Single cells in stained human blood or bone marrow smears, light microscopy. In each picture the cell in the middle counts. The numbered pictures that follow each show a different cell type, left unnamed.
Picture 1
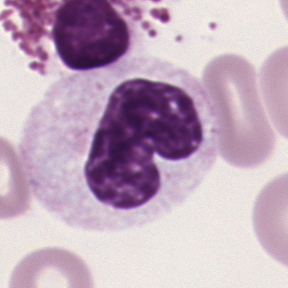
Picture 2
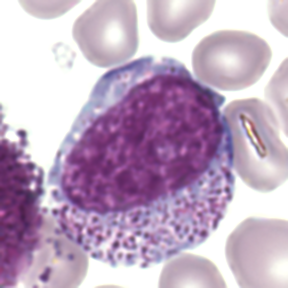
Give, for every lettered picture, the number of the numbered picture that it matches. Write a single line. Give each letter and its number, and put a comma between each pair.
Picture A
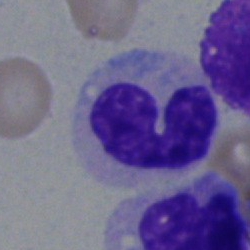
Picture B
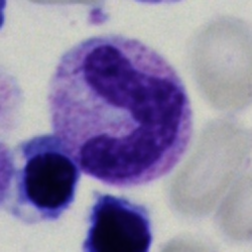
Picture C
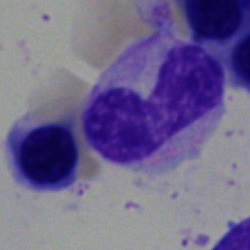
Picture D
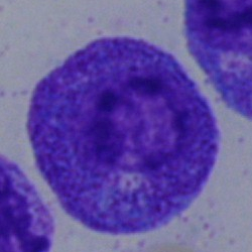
A 1, B 1, C 1, D 2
